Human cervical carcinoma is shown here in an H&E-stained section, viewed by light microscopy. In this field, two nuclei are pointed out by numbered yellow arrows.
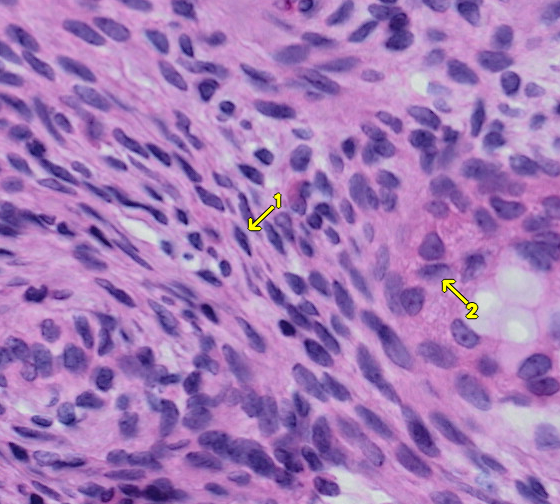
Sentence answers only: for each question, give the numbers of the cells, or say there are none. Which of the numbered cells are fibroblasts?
Only cell 1 is a fibroblast; none of the other numbered cells is.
